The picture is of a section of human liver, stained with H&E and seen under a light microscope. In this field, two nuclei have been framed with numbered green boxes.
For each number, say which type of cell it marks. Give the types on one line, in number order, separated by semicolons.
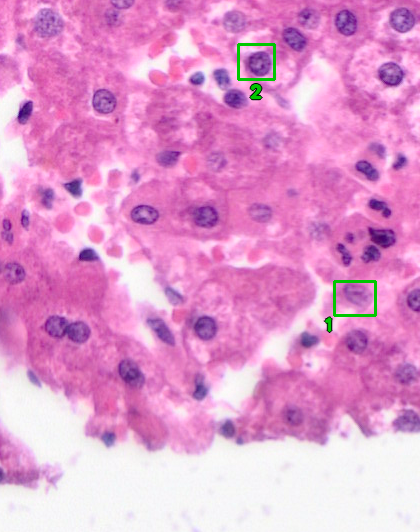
Kupffer cell; hepatocyte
